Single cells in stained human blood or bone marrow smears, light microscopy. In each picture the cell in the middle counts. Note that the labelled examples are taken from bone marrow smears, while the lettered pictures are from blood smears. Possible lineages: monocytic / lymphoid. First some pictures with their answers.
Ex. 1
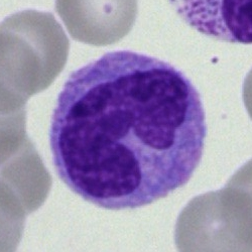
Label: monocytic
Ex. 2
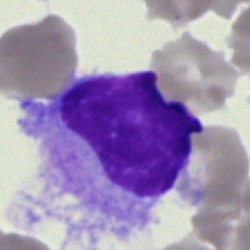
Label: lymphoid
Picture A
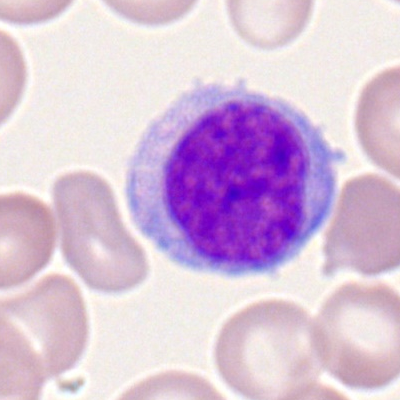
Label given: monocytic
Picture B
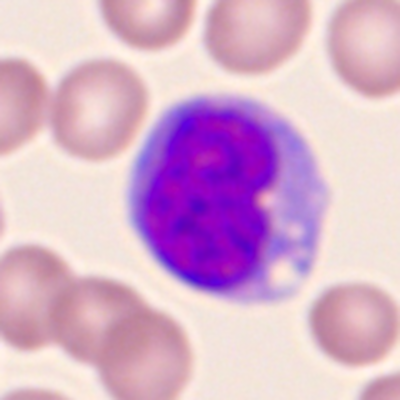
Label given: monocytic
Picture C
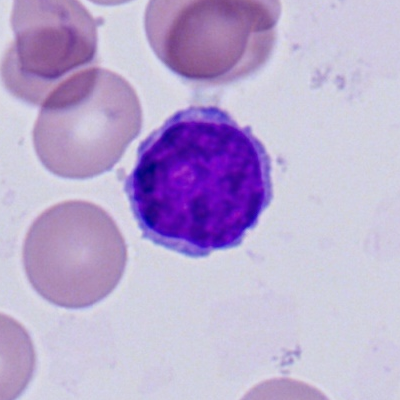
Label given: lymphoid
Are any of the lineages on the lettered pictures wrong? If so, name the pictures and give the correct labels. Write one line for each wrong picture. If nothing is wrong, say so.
No label is wrong.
